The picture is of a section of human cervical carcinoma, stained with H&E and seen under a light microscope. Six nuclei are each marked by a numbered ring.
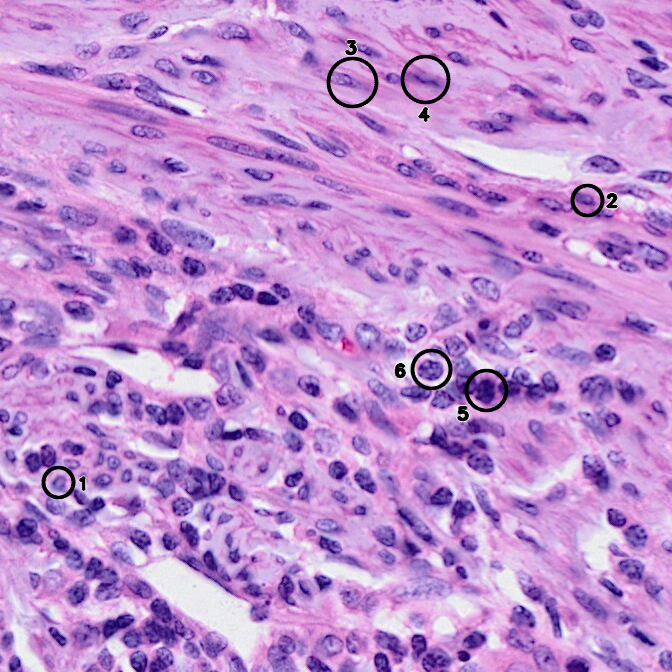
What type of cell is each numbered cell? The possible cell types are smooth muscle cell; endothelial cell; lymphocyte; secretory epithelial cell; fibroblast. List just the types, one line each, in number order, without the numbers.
lymphocyte
endothelial cell
smooth muscle cell
smooth muscle cell
lymphocyte
lymphocyte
